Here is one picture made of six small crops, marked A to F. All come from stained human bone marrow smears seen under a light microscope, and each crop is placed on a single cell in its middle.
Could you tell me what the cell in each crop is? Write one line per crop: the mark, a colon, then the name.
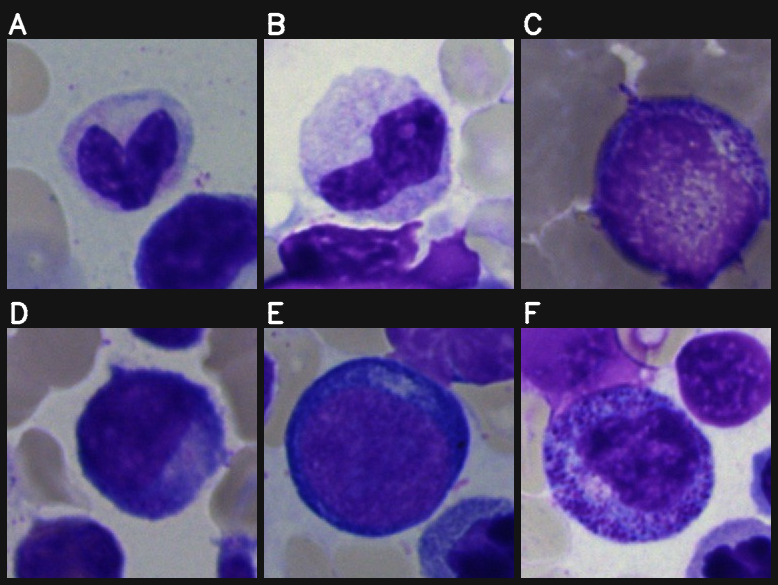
A: band neutrophil
B: band neutrophil
C: promyelocyte
D: promyelocyte
E: proerythroblast
F: promyelocyte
